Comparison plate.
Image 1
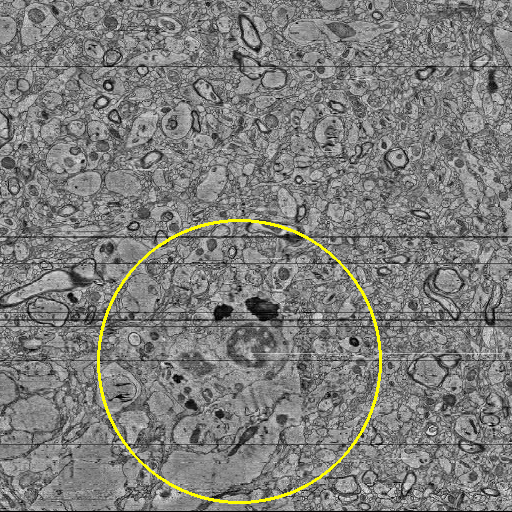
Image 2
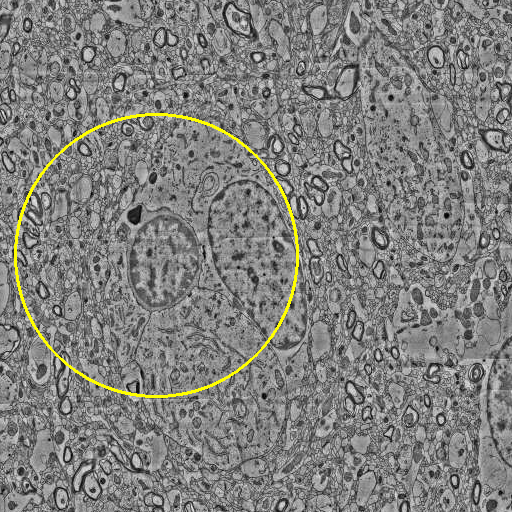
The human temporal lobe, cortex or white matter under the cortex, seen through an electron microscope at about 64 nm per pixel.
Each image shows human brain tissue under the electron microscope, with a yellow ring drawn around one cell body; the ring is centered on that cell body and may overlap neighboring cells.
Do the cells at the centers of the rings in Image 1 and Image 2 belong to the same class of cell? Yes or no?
yes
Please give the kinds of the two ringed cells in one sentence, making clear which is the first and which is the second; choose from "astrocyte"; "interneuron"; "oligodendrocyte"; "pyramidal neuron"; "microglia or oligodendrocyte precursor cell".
The second cell is an oligodendrocyte, just as the first is.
